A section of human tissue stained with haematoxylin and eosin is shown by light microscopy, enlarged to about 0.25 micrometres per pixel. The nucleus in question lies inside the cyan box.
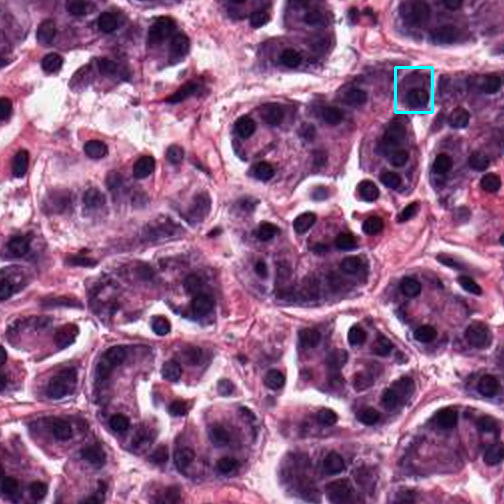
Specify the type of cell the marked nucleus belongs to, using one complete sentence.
The nucleus picked out by the mark is that of a pancreatic acinar cell.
